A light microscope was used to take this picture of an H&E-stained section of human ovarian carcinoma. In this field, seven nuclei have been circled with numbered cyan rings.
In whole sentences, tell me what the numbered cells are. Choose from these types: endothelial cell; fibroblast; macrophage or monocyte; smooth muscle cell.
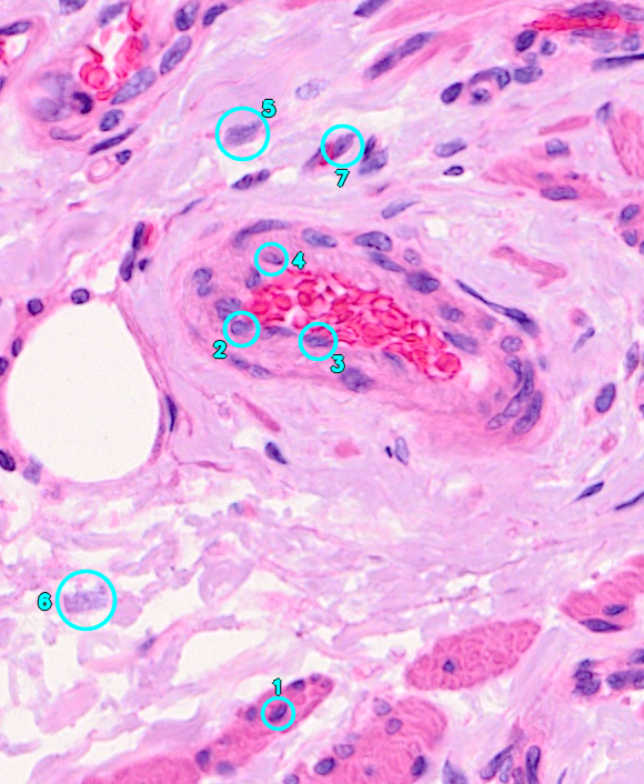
Cell 1 is a smooth muscle cell. Cells 2, 3, 4 and 7 are endothelial cells. Cells 5 and 6 are fibroblasts.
